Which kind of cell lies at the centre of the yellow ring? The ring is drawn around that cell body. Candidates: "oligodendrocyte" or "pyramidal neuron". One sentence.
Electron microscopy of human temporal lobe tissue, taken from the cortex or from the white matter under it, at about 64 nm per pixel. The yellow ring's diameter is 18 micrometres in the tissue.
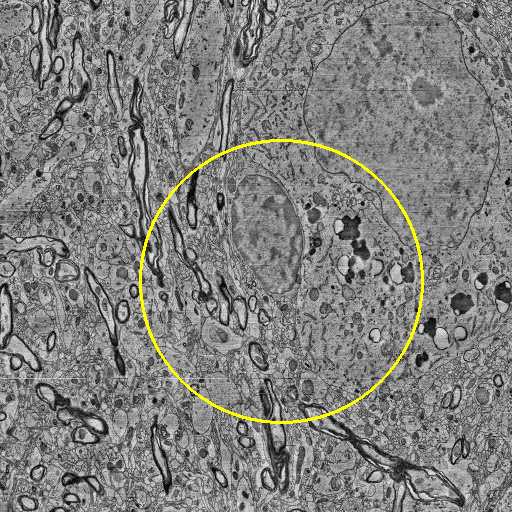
Lying at the centre of the ring is an oligodendrocyte.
